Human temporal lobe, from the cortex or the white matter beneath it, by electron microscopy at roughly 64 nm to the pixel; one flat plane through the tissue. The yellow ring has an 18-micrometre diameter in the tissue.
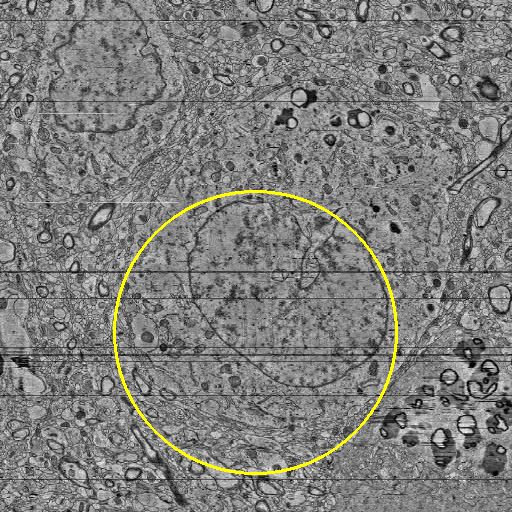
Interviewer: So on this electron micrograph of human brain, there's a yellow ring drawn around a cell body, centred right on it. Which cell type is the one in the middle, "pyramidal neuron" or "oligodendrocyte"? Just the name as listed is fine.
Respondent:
pyramidal neuron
